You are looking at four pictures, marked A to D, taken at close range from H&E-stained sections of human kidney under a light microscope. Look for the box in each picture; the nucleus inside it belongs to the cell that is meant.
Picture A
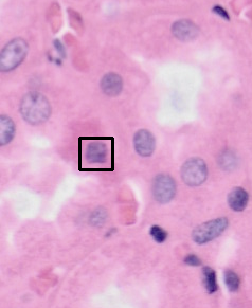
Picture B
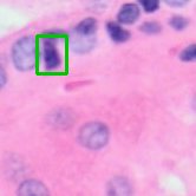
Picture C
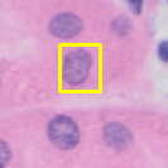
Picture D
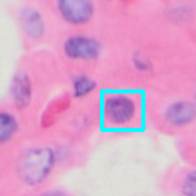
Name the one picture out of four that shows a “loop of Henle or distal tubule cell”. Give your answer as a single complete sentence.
Picture D is the one that shows the “loop of Henle or distal tubule cell”.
